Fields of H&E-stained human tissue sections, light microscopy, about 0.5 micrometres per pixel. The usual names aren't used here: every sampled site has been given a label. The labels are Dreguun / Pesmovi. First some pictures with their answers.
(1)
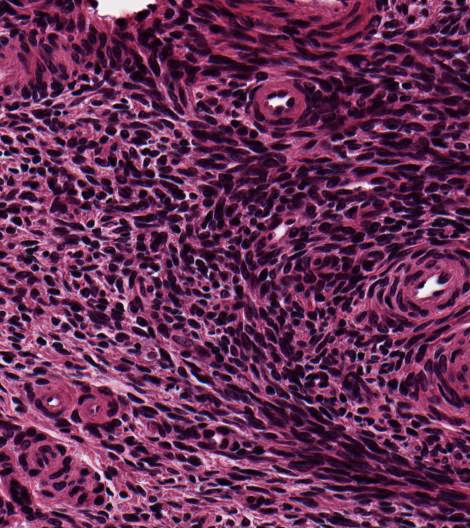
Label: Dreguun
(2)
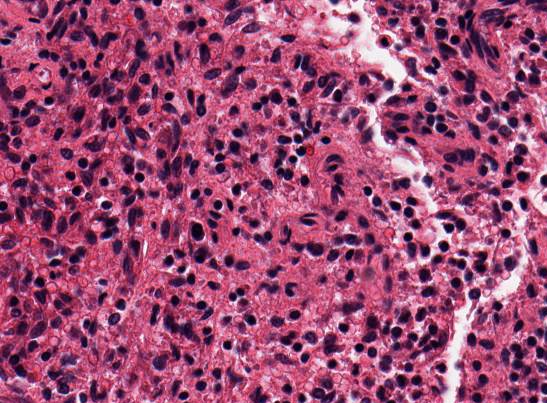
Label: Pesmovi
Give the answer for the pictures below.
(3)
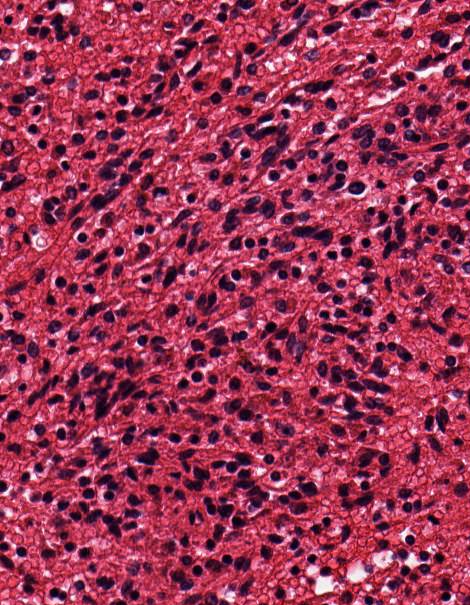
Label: Pesmovi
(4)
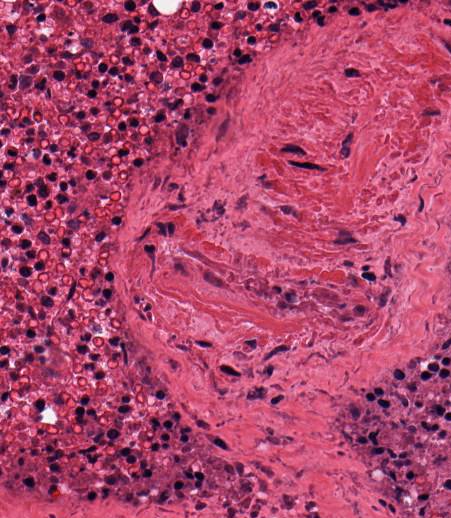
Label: Pesmovi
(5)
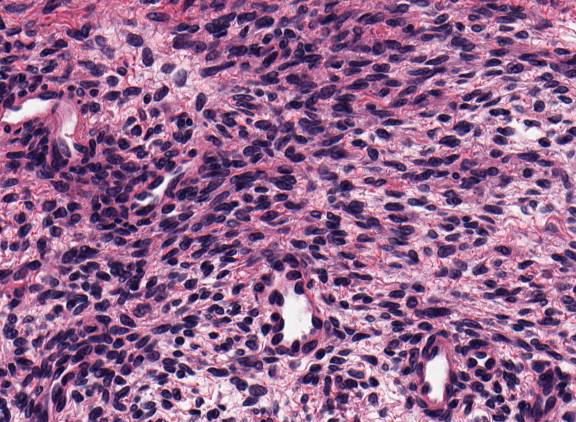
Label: Dreguun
